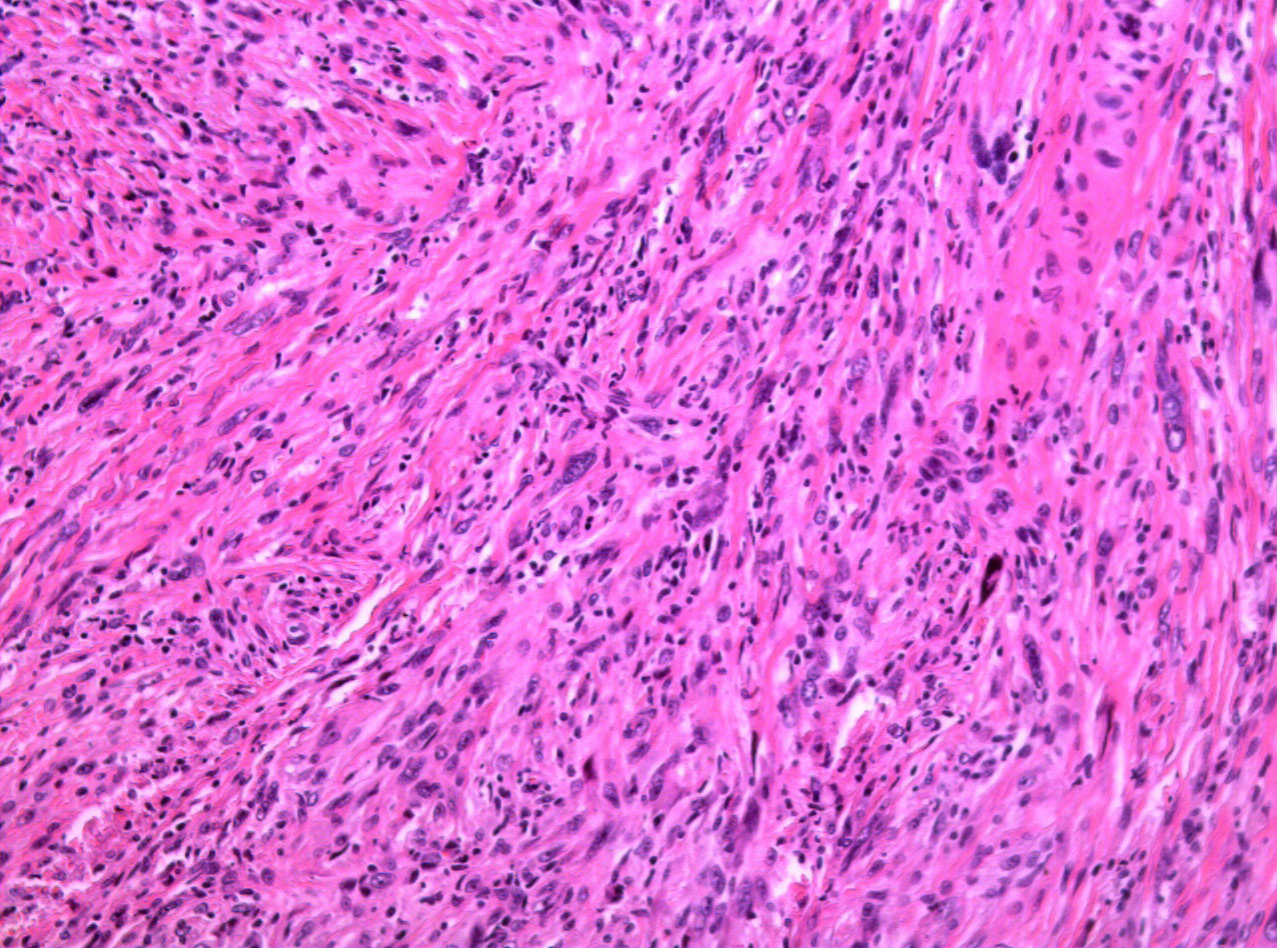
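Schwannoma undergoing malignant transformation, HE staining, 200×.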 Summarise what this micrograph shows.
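Spindle cell tumour tissue. Elongated cells with fusiform to oval purple nuclei lie in sweeping, interlacing fascicles separated by bands of pink collagenous stroma. Nuclei vary in size. Many are slender and bland. Others are plump and oval with open chromatin. A few scattered nuclei are strikingly enlarged, irregular and dark, which makes these giant tumour cells. Cytoplasm is pale pink and poorly outlined, and cell borders are indistinct. Small dark round nuclei are interspersed among the tumour cells. Cellularity is moderate to high across the field.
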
